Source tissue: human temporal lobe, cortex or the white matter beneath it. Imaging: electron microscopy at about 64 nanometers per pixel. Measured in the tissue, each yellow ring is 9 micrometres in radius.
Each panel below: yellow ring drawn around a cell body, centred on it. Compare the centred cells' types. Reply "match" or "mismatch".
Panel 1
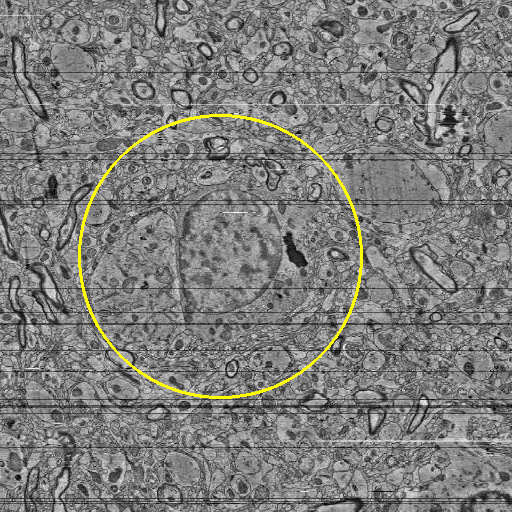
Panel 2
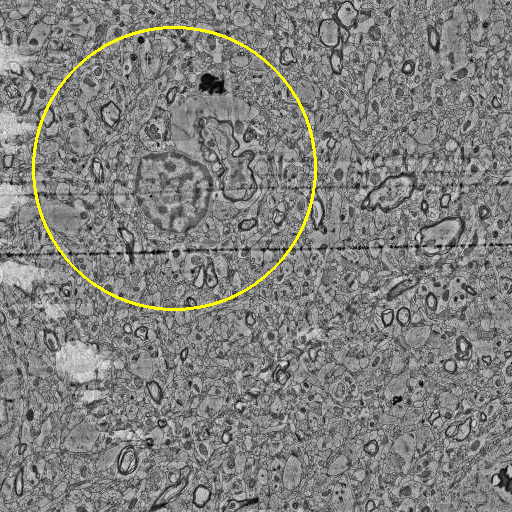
match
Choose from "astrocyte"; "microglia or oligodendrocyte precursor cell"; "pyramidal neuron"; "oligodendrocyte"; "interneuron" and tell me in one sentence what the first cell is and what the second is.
Each cell, in the first picture and the second, is an oligodendrocyte.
